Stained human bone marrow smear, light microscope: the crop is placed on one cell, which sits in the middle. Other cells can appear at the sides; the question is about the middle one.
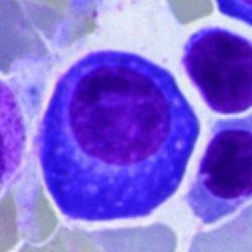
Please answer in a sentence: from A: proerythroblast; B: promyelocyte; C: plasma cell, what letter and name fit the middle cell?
Option C, which names the central cell as a plasma cell, is correct.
